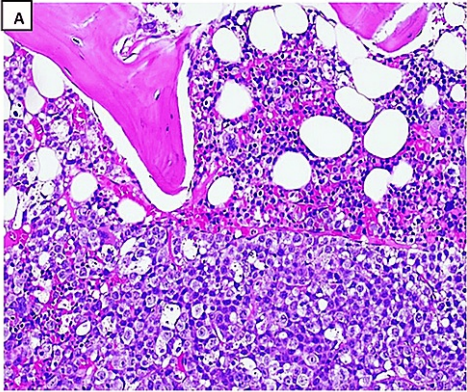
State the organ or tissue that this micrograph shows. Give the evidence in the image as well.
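Pink lamellar bony trabeculae run across the top. Round empty fat spaces lie between cells beneath the bone. Densely packed hematopoietic-sized cells fill the spaces.
Hence: bone marrow.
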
